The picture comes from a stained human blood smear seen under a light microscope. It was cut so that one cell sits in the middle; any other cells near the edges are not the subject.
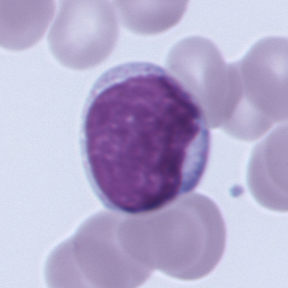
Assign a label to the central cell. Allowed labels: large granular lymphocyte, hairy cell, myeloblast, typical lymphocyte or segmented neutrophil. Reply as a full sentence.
The central cell, amid any neighbouring cells, is a large granular lymphocyte.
